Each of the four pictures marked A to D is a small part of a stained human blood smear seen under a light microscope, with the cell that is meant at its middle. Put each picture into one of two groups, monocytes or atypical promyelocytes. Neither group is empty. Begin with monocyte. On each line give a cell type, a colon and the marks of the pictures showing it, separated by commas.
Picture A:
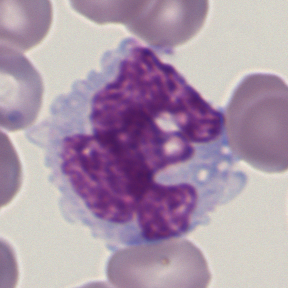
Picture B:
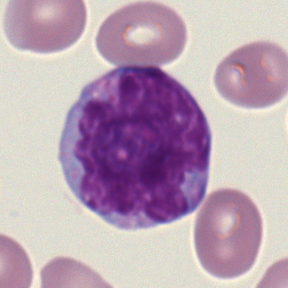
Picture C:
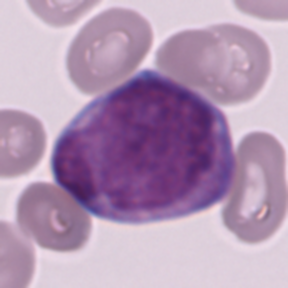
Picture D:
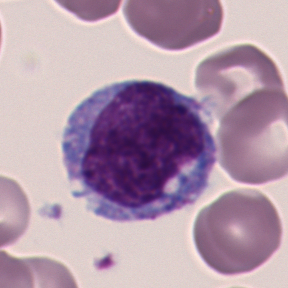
monocyte: A, D
atypical promyelocyte: B, C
